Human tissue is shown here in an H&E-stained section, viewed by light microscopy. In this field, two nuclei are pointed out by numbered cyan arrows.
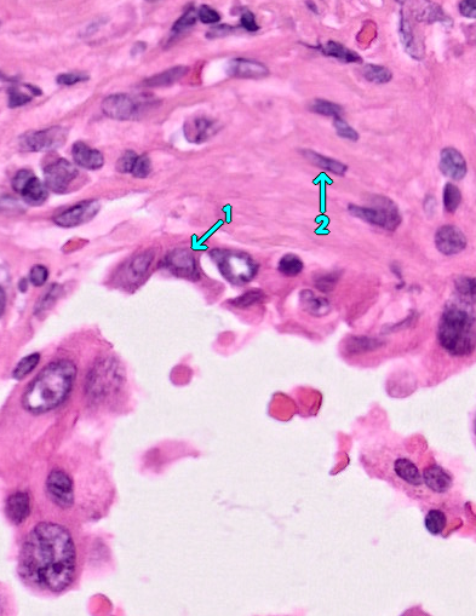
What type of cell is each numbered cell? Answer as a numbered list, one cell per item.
1. carcinoma cell
2. smooth muscle cell or pericyte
